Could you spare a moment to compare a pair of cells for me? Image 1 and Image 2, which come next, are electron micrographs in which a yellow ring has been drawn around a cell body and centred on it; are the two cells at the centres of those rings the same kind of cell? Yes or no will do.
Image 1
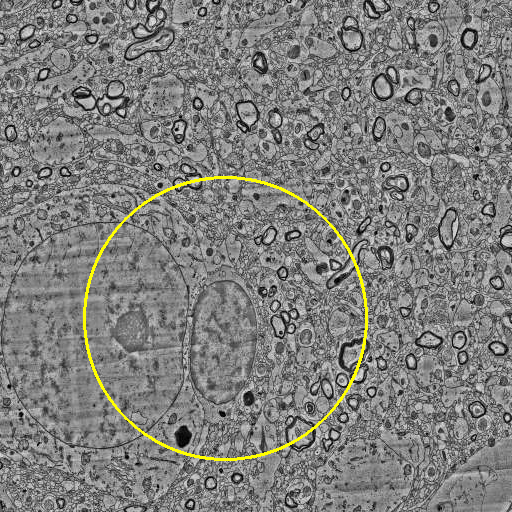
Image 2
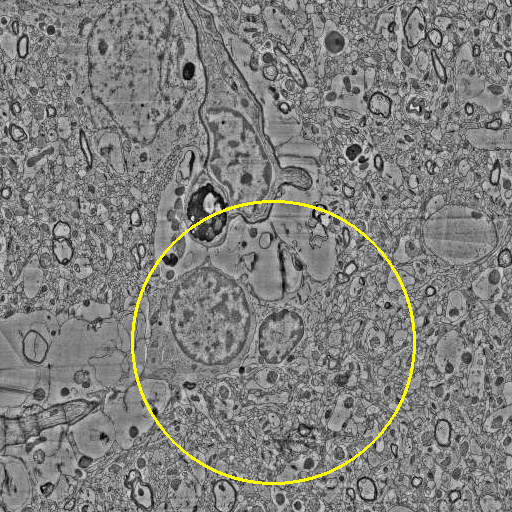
no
